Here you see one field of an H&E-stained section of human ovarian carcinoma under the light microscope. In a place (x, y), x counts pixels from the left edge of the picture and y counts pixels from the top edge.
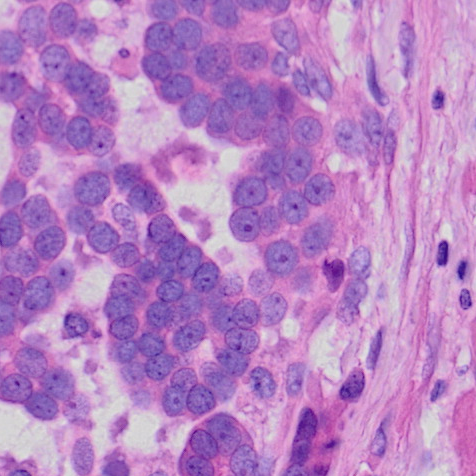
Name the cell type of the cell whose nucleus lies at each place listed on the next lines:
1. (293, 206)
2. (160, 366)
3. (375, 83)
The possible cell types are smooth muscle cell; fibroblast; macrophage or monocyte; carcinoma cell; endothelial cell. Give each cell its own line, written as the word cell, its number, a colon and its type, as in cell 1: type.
cell 1: carcinoma cell
cell 2: carcinoma cell
cell 3: fibroblast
